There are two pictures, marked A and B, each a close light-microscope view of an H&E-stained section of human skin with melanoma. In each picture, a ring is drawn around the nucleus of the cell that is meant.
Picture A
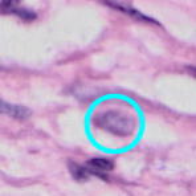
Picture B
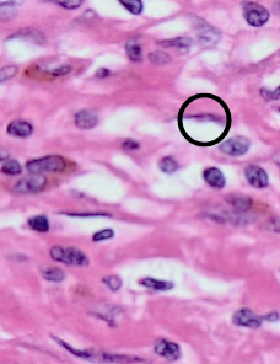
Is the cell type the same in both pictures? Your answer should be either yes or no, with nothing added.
yes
